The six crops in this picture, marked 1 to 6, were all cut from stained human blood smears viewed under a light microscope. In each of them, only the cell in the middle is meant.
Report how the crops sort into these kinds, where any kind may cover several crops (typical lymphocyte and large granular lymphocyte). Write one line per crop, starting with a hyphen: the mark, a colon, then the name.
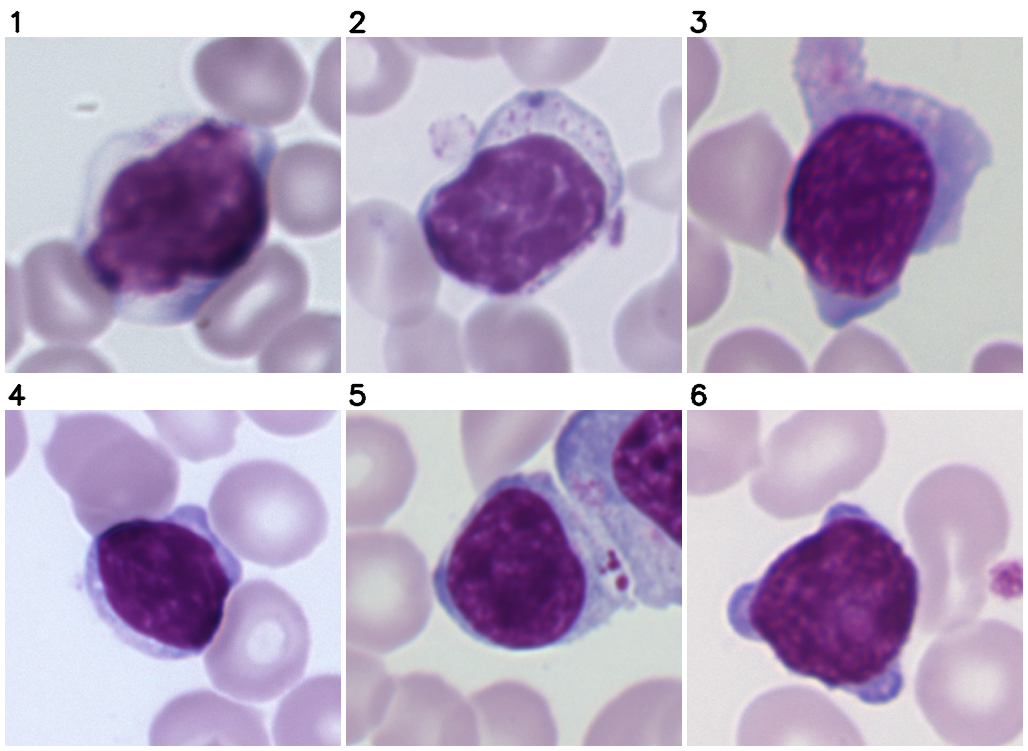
- 1: large granular lymphocyte
- 2: large granular lymphocyte
- 3: typical lymphocyte
- 4: typical lymphocyte
- 5: typical lymphocyte
- 6: typical lymphocyte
